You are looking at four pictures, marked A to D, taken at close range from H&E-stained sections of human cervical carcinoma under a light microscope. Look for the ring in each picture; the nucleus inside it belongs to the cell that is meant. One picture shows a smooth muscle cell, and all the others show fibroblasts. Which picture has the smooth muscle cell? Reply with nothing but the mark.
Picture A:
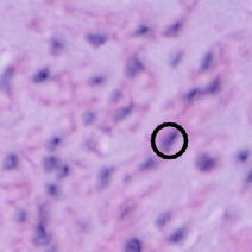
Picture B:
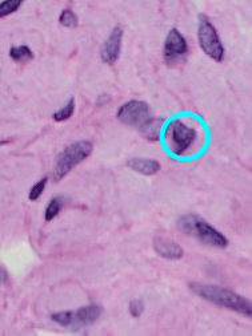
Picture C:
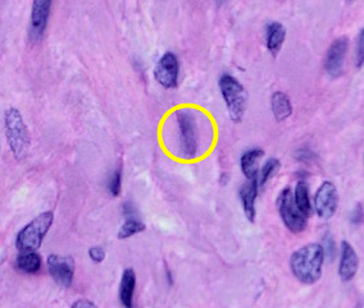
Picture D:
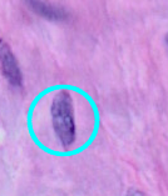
A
